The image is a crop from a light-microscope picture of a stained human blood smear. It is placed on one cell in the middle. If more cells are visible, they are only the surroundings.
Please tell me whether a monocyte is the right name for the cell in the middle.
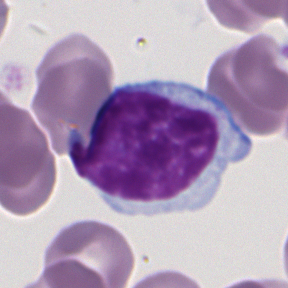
no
